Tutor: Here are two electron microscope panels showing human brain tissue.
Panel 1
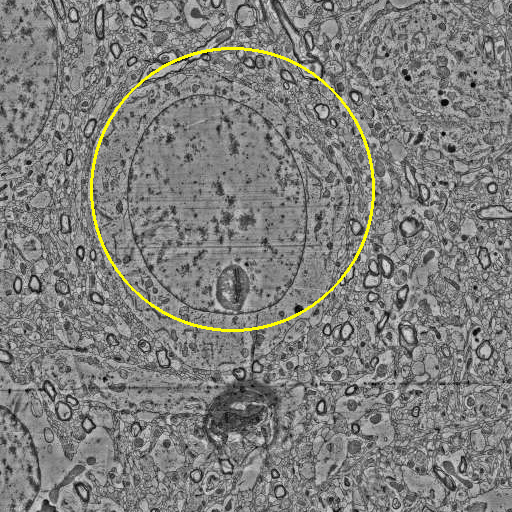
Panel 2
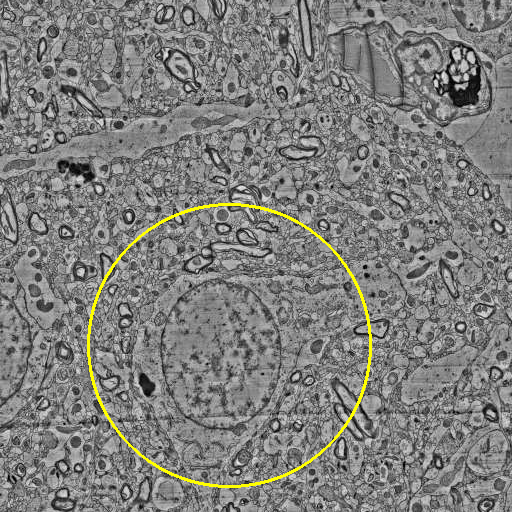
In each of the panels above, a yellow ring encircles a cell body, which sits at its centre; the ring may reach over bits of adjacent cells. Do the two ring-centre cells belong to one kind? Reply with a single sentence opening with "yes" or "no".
Yes, the two cells sitting at the ring centres in the panels belong to one kind.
